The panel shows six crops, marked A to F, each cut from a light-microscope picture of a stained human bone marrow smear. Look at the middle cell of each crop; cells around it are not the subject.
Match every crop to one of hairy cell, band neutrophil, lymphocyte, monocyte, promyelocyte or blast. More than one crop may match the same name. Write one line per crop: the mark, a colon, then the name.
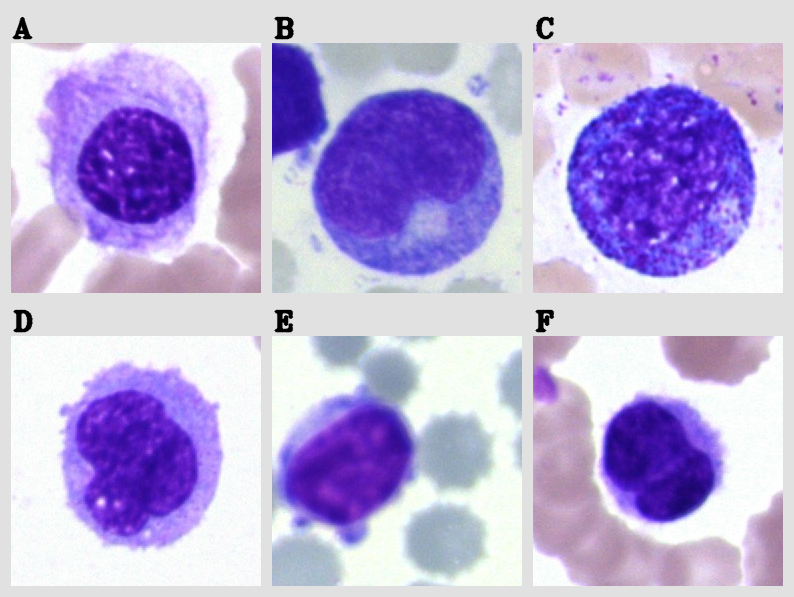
A: hairy cell
B: blast
C: promyelocyte
D: monocyte
E: lymphocyte
F: hairy cell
